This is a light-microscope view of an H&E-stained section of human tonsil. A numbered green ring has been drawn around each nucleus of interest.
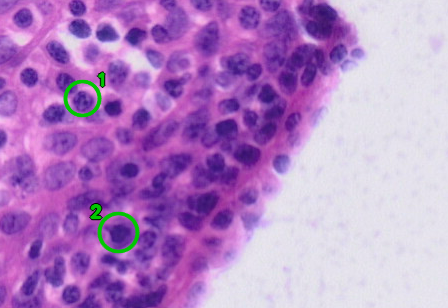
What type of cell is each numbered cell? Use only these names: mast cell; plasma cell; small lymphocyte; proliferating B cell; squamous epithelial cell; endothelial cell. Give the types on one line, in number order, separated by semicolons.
plasma cell; squamous epithelial cell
